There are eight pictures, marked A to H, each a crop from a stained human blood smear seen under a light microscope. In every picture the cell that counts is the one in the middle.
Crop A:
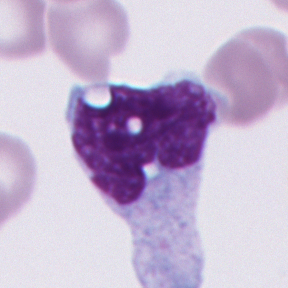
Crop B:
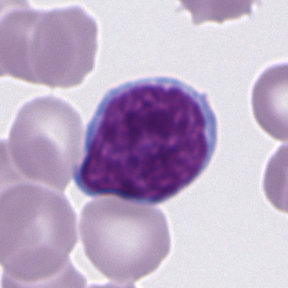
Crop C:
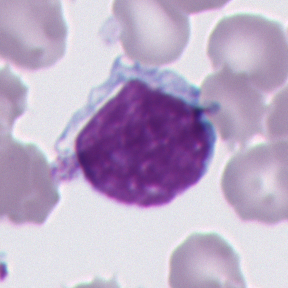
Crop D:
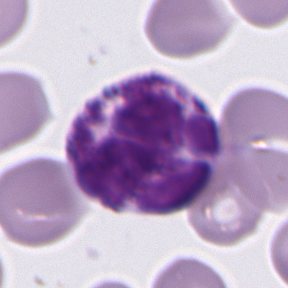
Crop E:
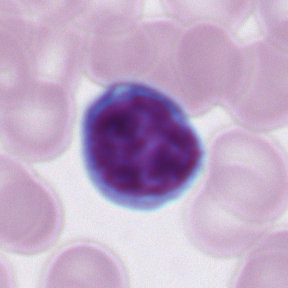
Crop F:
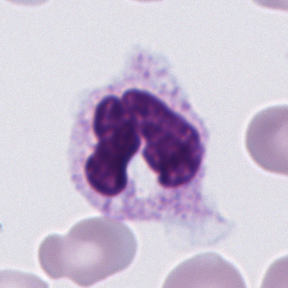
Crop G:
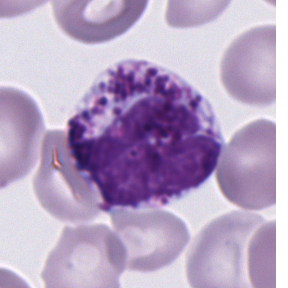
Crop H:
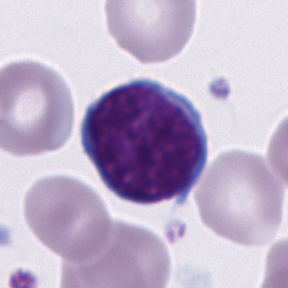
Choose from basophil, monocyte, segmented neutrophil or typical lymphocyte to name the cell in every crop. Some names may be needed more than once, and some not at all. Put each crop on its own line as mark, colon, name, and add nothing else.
A: monocyte
B: typical lymphocyte
C: typical lymphocyte
D: basophil
E: typical lymphocyte
F: segmented neutrophil
G: basophil
H: typical lymphocyte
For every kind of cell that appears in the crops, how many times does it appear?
typical lymphocyte: 4
basophil: 2
monocyte: 1
segmented neutrophil: 1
